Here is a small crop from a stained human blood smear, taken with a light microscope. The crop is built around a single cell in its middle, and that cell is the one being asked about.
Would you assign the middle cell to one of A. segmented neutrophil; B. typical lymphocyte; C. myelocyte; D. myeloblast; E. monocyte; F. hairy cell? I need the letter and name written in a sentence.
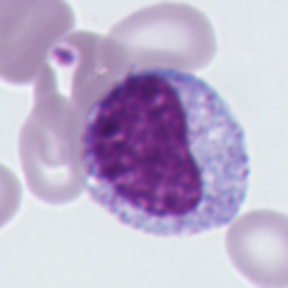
For this crop, option C is right, the centered cell being a myelocyte.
